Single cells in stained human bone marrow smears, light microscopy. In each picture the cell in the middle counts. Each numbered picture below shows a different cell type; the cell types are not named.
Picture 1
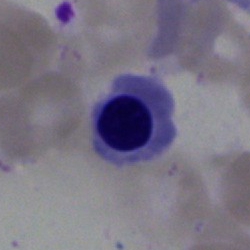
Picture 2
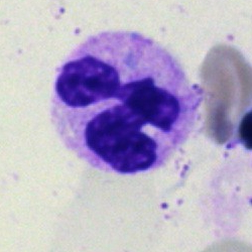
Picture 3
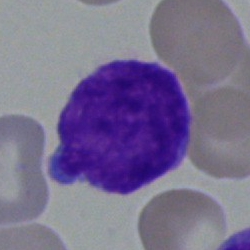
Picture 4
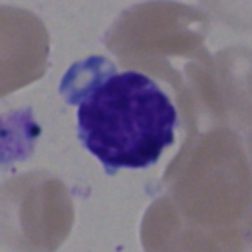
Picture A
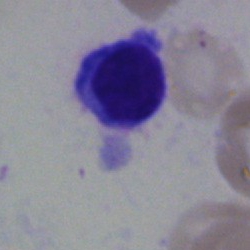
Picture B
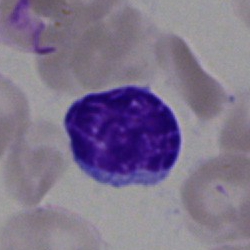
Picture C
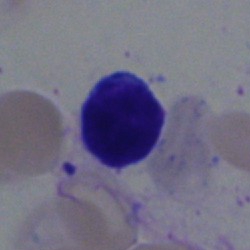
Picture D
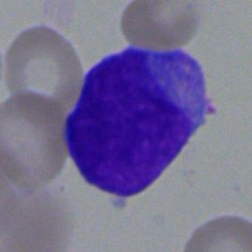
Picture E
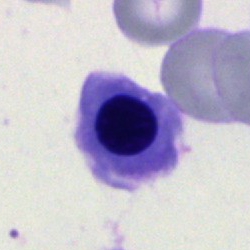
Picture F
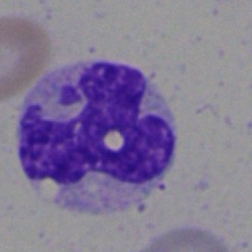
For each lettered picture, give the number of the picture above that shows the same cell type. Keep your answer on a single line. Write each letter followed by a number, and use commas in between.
A 4, B 4, C 4, D 3, E 1, F 2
